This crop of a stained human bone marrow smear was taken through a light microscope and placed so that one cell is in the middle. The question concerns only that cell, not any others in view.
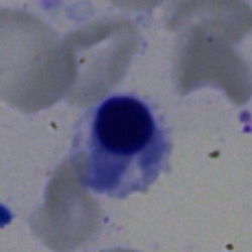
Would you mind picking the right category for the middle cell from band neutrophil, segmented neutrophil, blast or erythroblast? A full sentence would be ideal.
Seen at the centre of the crop is an erythroblast.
